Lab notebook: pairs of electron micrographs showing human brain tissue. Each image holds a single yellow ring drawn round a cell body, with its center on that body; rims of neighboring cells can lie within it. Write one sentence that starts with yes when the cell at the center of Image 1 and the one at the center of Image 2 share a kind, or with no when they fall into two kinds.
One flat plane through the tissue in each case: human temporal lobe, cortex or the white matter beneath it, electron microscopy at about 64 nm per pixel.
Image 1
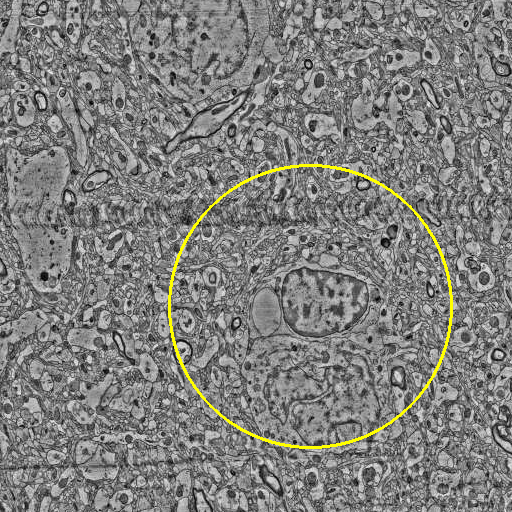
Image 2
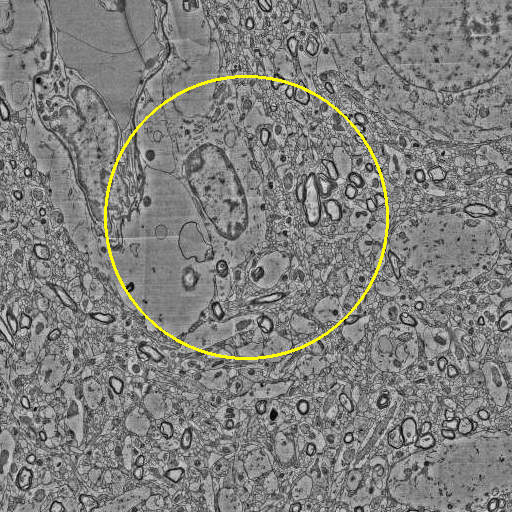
Yes, the centered cell in Image 1 and the centered cell in Image 2 are of one kind.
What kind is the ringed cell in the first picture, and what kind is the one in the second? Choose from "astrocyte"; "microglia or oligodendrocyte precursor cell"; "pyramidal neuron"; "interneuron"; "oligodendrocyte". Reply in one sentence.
Each cell, in the first picture and the second, is a microglial cell or oligodendrocyte precursor cell.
